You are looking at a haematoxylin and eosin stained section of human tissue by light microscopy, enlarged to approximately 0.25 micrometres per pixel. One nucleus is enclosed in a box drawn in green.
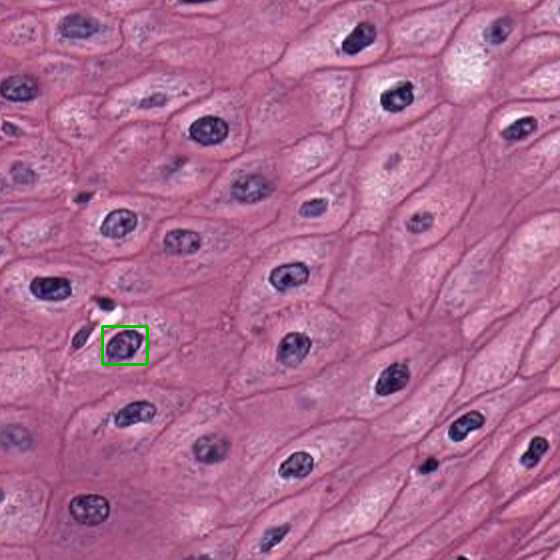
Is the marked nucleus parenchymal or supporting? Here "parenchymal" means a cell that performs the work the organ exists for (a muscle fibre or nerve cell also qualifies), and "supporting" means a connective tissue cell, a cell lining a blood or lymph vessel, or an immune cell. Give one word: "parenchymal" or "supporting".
parenchymal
